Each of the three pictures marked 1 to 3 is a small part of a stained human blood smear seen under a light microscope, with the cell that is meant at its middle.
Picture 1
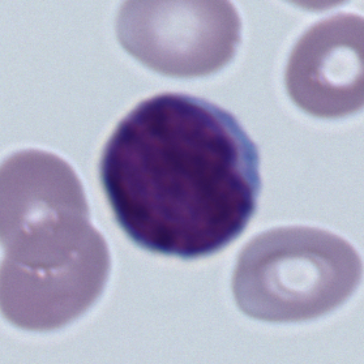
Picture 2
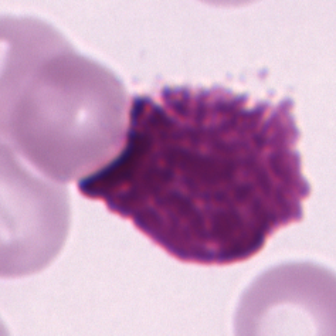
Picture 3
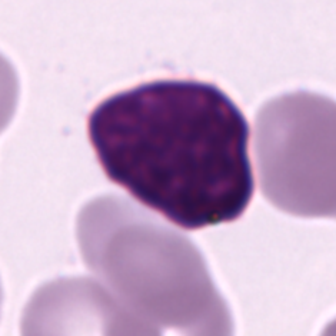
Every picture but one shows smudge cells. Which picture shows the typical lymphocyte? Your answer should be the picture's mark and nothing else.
1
